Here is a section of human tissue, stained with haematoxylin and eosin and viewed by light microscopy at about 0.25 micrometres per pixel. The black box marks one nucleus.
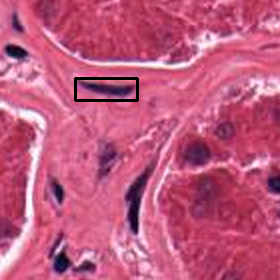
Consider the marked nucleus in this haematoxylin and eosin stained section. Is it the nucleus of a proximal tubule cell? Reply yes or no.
no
